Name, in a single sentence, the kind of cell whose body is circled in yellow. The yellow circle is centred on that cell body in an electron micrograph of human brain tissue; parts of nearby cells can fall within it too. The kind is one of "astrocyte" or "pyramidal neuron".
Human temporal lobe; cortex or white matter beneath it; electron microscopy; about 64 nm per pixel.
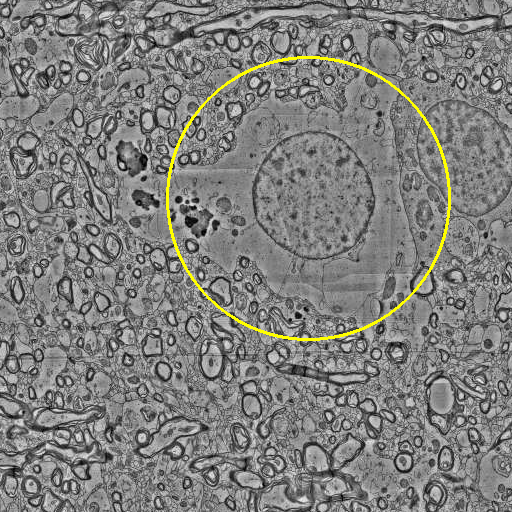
The circled cell body belongs to an astrocyte.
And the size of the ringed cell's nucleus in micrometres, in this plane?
In this plane the ringed cell's nucleus is roughly 8 micrometres across.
